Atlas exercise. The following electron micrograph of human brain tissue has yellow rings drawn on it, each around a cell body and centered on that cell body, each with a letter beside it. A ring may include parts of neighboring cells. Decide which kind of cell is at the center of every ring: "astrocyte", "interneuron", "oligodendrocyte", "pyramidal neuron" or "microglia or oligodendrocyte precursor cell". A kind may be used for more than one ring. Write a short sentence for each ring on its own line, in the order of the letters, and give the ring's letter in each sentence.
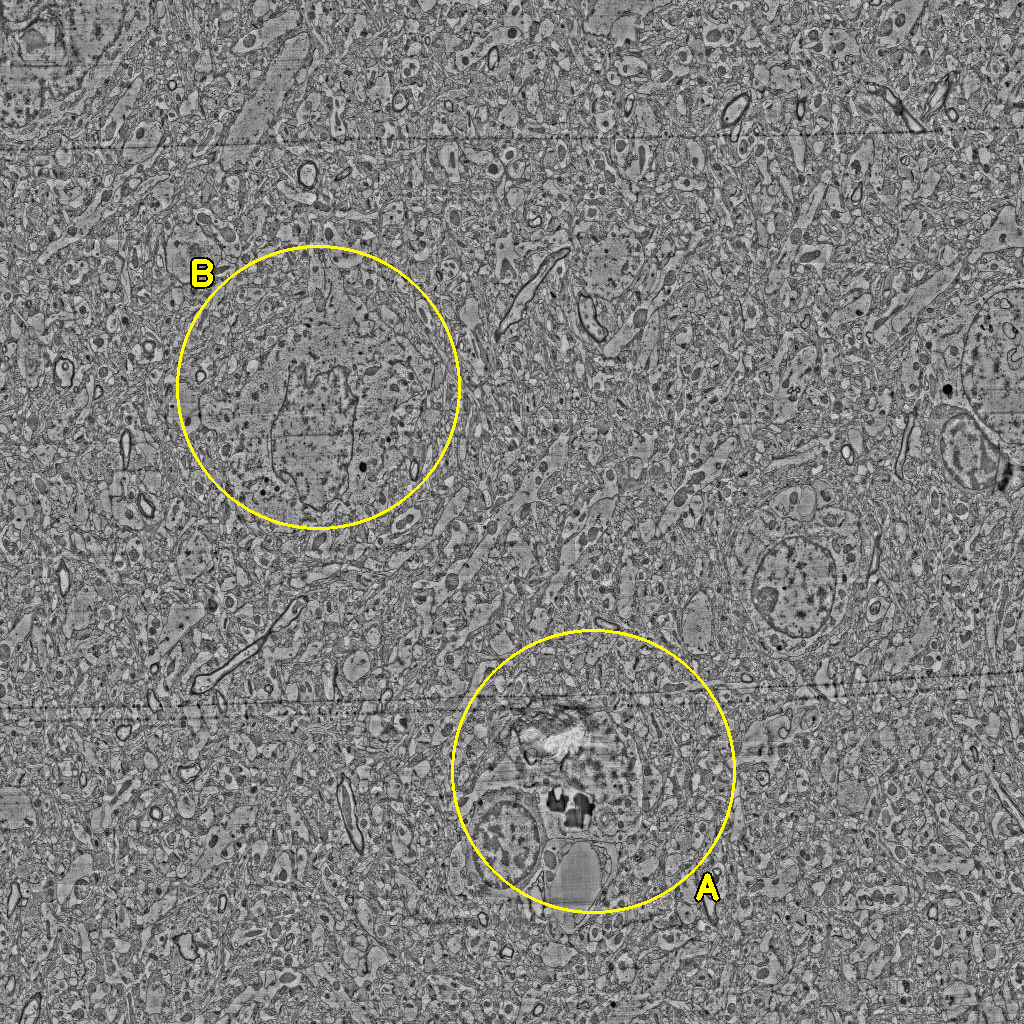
Ring A frames an interneuron at its center.
Ring B frames a pyramidal neuron at its center.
